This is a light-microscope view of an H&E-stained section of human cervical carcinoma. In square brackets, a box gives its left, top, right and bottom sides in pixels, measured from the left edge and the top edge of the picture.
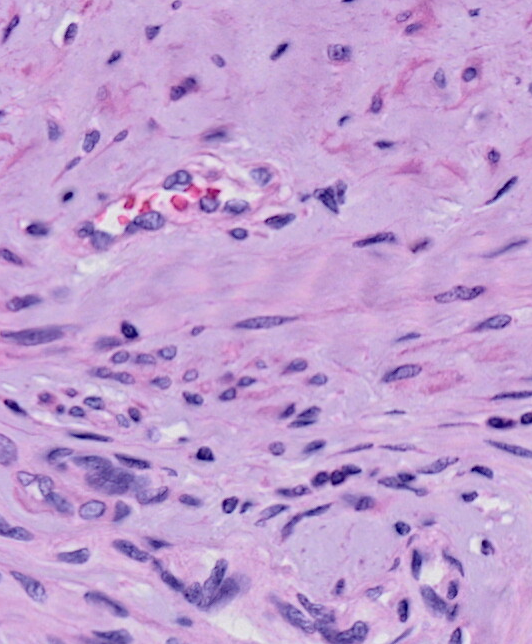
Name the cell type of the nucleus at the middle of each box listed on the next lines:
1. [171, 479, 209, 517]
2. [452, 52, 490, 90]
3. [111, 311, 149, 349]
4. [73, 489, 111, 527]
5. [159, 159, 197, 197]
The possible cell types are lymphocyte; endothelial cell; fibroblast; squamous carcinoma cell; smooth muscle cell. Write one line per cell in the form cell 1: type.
cell 1: fibroblast
cell 2: smooth muscle cell
cell 3: lymphocyte
cell 4: endothelial cell
cell 5: endothelial cell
